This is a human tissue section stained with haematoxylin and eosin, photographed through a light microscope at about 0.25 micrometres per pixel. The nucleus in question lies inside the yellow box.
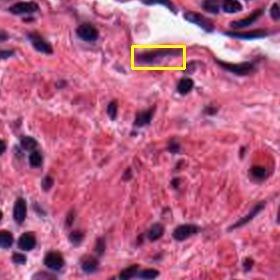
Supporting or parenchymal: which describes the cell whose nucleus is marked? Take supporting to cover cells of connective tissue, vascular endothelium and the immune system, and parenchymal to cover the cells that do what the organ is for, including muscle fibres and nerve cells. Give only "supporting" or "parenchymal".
supporting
